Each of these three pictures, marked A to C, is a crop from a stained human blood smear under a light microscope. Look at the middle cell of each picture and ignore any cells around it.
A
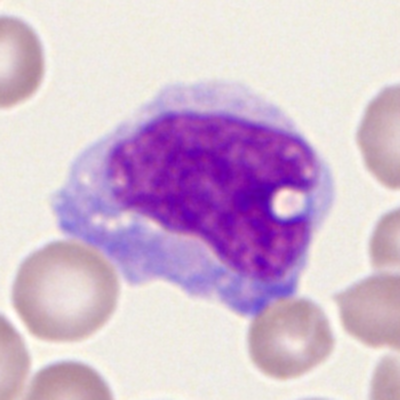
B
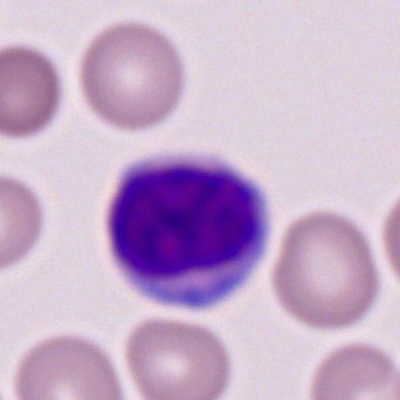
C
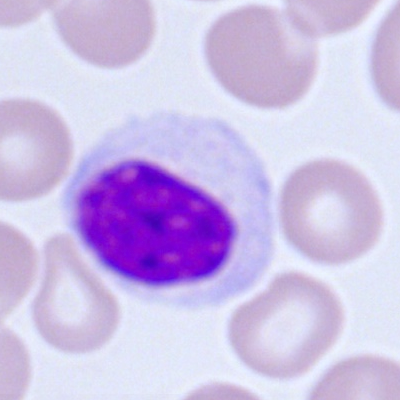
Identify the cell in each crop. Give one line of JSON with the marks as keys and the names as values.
{"A": "monocyte", "B": "lymphocyte", "C": "lymphocyte"}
